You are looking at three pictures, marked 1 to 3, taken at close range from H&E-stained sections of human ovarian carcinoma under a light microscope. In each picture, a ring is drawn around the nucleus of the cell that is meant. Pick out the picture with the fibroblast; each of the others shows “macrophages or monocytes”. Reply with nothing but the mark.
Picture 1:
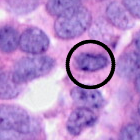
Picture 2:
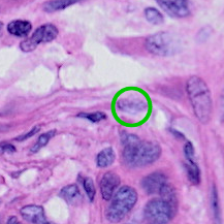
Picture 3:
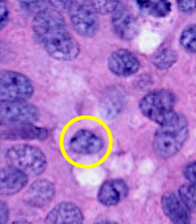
2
